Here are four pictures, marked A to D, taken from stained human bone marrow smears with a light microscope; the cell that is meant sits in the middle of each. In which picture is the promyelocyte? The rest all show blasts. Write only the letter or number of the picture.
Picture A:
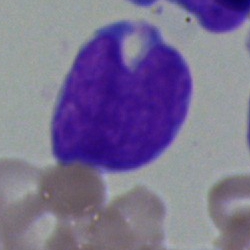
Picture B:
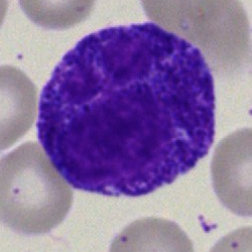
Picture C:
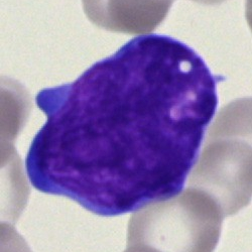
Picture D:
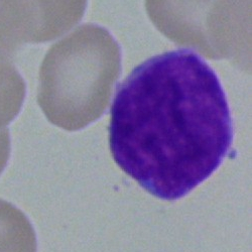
B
